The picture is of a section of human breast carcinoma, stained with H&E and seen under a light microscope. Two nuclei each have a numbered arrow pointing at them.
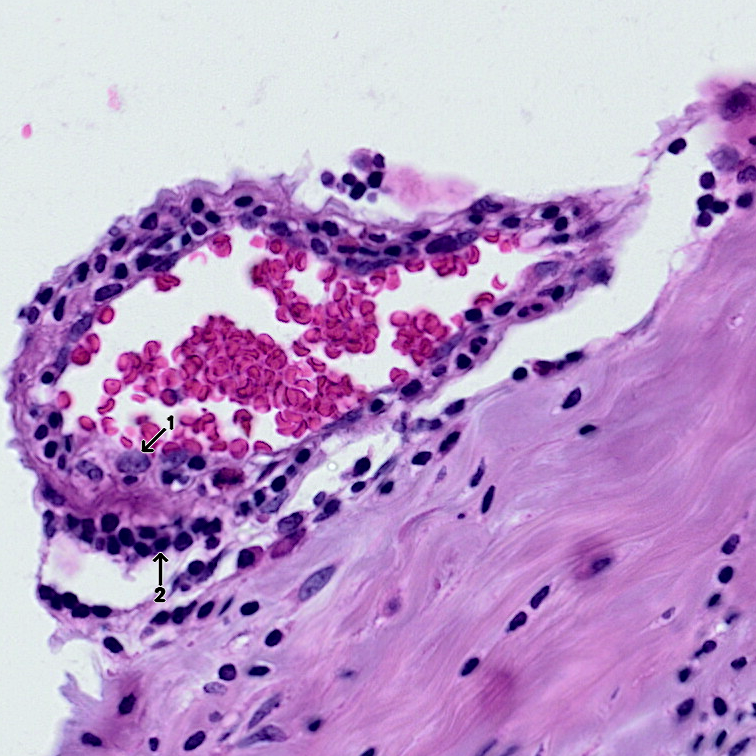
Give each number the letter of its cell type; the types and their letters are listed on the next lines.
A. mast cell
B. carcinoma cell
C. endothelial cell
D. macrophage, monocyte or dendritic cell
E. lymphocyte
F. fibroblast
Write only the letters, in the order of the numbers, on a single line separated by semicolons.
C; E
